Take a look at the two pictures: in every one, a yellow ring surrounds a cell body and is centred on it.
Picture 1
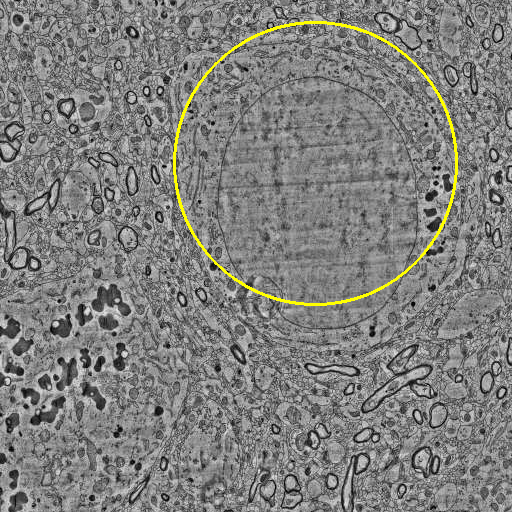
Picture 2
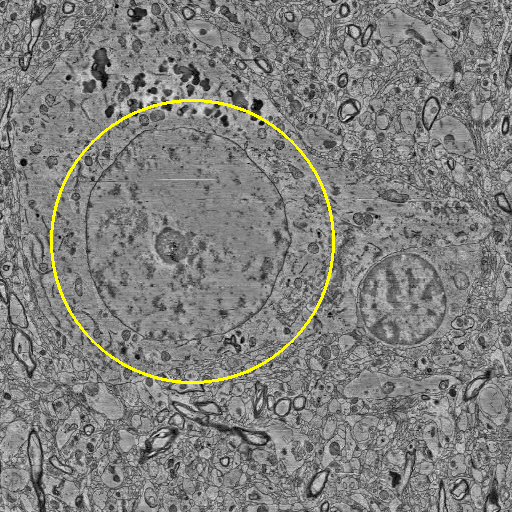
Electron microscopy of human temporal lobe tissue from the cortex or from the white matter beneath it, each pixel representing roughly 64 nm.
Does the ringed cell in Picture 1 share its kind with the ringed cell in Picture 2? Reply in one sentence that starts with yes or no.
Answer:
Yes, the two centred cells, one per picture, are of one kind.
